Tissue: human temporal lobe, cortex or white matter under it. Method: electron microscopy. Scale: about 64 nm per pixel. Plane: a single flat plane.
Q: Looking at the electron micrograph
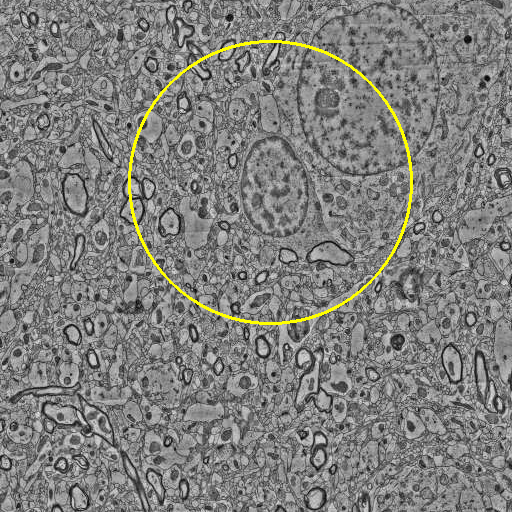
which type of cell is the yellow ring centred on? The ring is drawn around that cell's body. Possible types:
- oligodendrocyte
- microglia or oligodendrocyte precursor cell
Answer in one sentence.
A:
The yellow ring is centred on an oligodendrocyte.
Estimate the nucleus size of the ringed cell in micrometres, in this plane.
Roughly 6 by 4 micrometres is the size of the nucleus in this plane.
